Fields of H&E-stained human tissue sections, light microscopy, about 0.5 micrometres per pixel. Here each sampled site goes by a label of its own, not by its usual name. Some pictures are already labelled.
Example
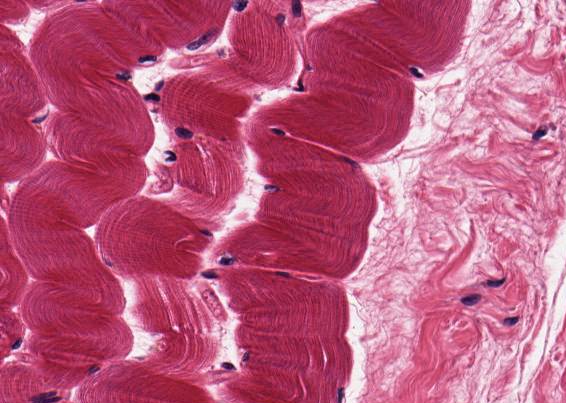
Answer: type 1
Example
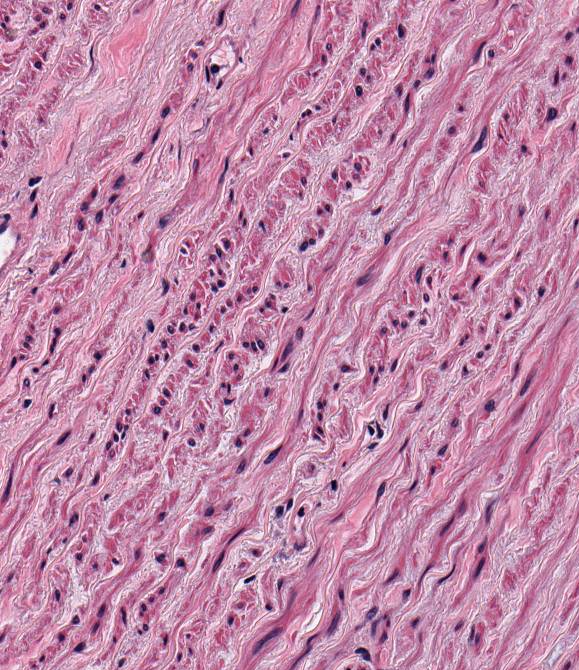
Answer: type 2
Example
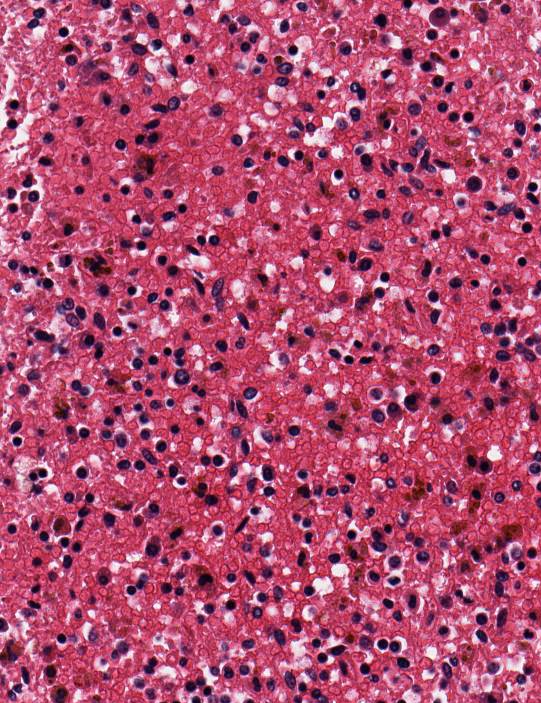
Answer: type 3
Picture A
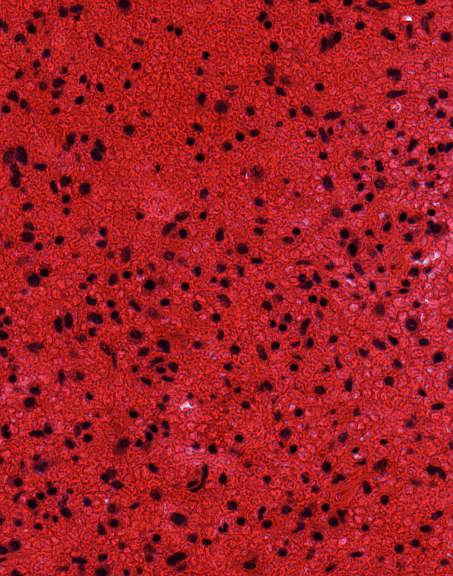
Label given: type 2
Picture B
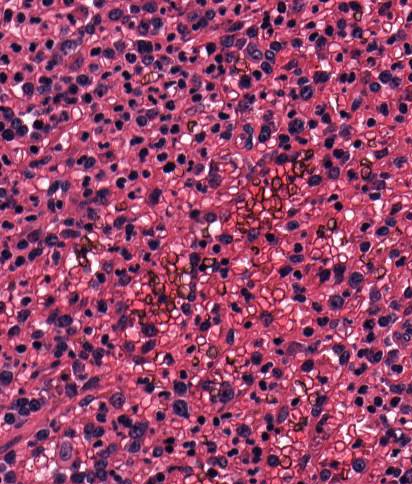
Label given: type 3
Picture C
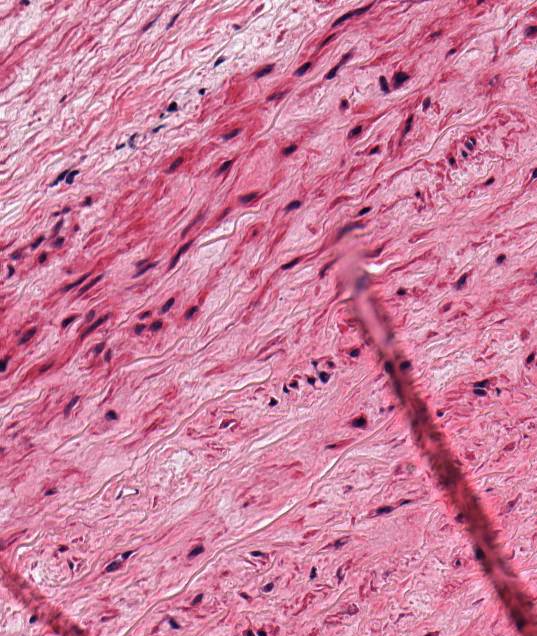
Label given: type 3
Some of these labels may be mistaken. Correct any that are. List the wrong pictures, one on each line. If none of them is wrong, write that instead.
A is labelled type 2; correct label: type 3
C is labelled type 3; correct label: type 2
